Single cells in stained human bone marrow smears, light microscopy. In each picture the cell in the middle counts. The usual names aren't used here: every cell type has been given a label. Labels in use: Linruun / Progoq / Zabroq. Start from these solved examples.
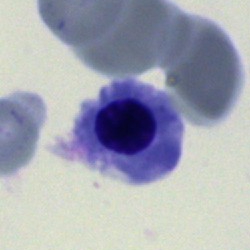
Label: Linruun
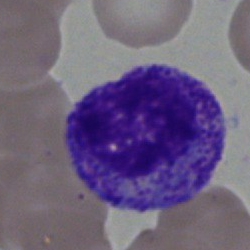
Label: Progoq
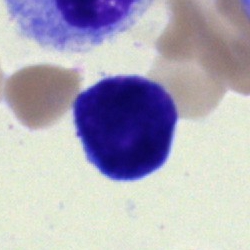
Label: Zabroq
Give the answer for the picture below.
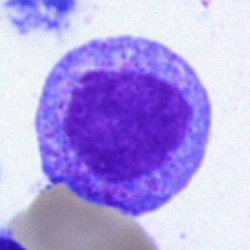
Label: Progoq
